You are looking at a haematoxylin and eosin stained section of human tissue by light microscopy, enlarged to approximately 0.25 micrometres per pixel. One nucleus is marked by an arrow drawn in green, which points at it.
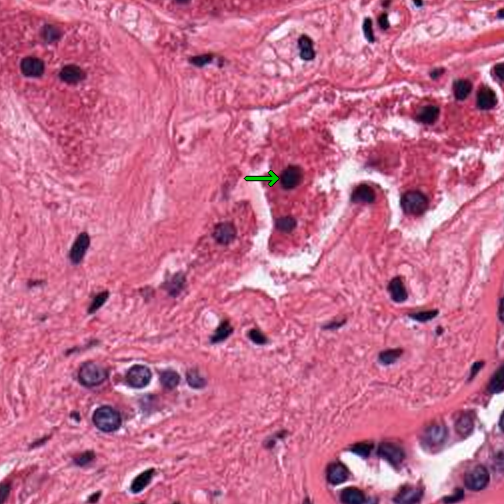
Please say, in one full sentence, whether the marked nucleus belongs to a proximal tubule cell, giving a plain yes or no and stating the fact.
Yes, the marked nucleus is held by a proximal tubule cell.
